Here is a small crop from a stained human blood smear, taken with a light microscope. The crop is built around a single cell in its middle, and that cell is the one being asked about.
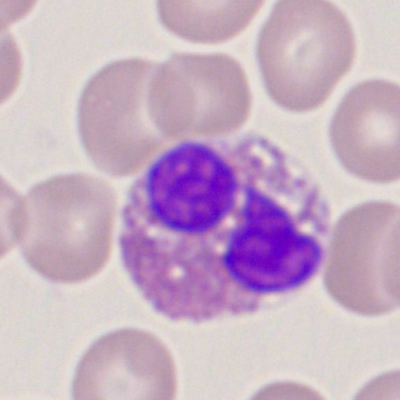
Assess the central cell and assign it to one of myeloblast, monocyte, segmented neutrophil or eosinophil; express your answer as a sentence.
The cell at the heart of this crop is an eosinophil.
